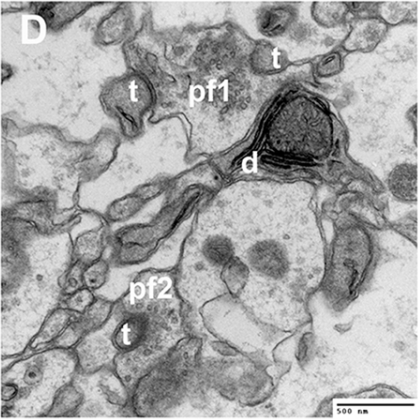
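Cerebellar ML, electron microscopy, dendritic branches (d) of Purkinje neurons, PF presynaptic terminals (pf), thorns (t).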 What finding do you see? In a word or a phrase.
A: Enlarged empty space.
